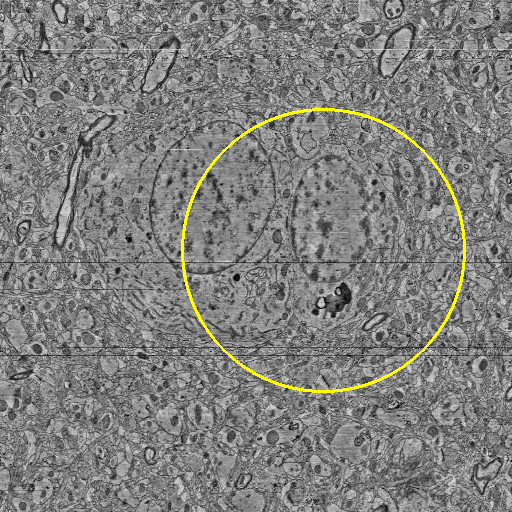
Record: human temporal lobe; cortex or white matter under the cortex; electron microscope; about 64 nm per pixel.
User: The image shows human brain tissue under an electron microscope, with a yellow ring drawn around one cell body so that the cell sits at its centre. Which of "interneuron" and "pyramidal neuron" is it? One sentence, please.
At the centre of the ring sits an interneuron.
